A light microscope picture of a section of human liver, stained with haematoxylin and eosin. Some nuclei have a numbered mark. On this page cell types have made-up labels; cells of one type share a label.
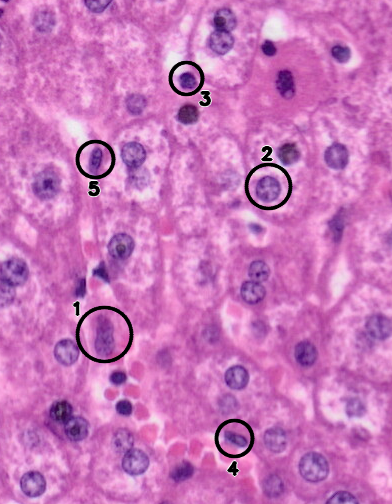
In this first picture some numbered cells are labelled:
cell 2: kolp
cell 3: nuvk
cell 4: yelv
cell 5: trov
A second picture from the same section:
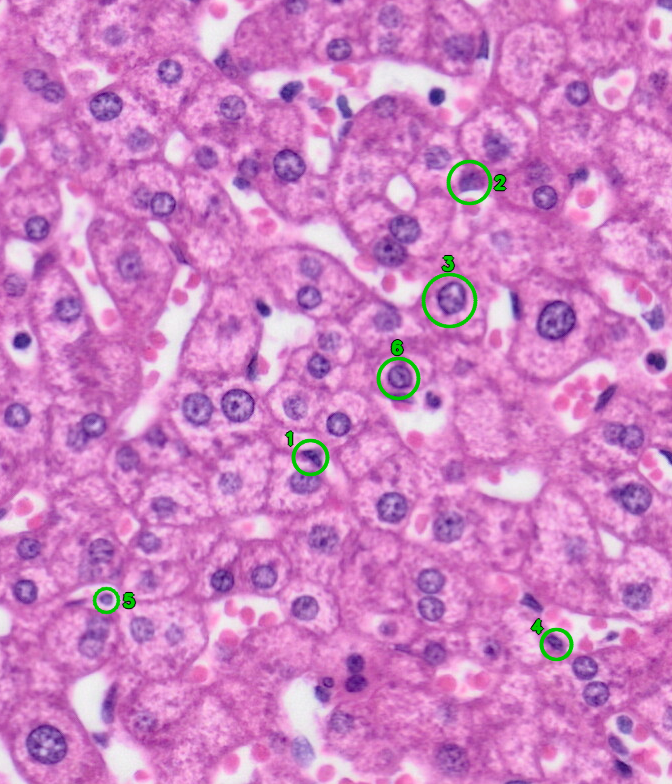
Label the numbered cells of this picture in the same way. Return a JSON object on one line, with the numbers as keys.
{"1": "yelv", "2": "yelv", "3": "kolp", "4": "trov", "5": "nuvk", "6": "kolp"}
